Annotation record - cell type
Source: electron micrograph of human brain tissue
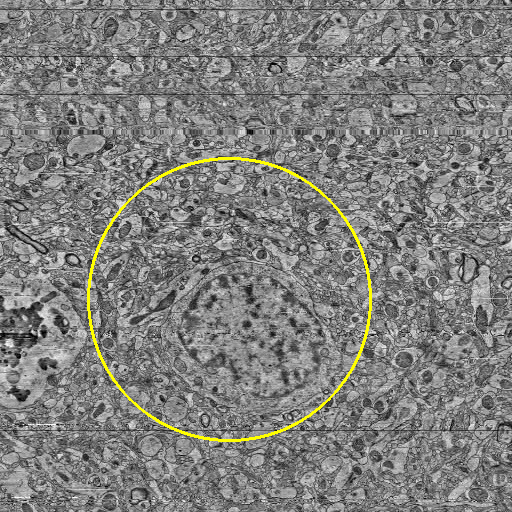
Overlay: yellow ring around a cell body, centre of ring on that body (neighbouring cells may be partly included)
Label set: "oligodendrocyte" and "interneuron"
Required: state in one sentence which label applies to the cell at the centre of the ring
This cell should be labelled as an interneuron.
